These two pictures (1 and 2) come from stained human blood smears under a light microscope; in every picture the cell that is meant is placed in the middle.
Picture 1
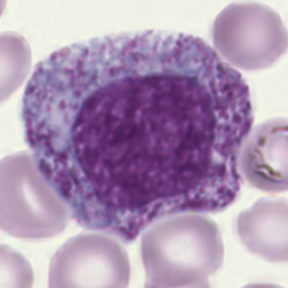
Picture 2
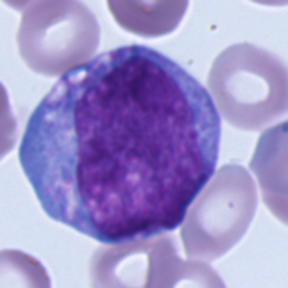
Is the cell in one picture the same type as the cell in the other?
yes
